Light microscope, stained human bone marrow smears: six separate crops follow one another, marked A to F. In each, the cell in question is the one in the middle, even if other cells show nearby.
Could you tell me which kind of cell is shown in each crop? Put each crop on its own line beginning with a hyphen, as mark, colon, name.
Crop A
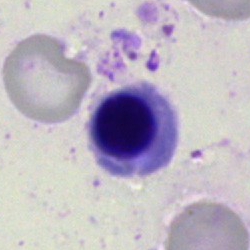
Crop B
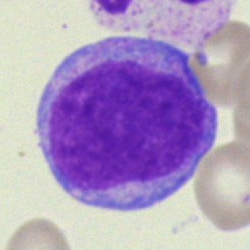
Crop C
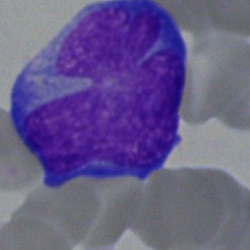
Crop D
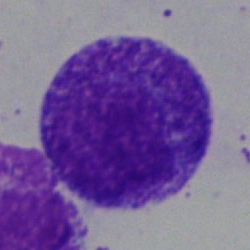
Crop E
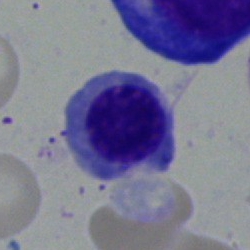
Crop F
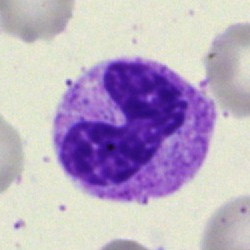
- A: normoblast
- B: blast
- C: blast
- D: promyelocyte
- E: normoblast
- F: band neutrophil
